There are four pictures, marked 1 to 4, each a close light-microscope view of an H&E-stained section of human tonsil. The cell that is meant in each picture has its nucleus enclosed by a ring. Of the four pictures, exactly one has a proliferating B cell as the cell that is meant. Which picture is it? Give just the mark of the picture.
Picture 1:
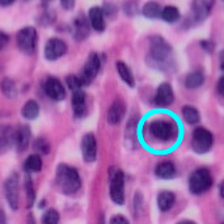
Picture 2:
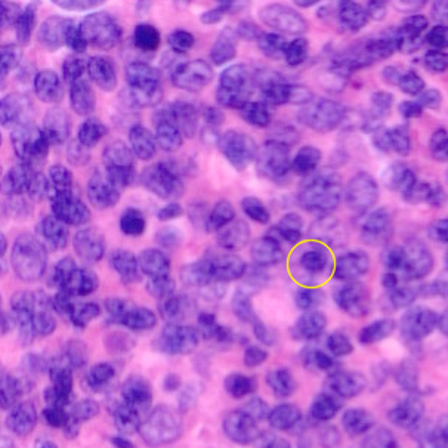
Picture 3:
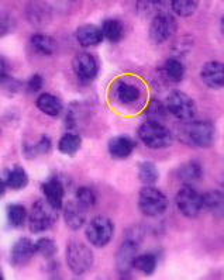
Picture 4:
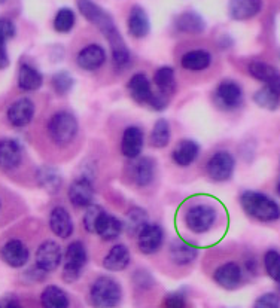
2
